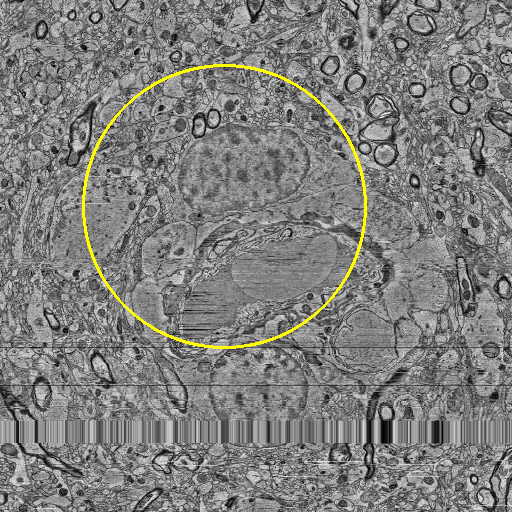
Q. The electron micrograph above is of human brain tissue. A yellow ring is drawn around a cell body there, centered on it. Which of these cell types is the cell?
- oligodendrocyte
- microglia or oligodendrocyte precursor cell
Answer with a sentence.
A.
The cell under the ring's center is an oligodendrocyte.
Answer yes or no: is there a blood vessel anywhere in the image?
Yes, there is a blood vessel.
